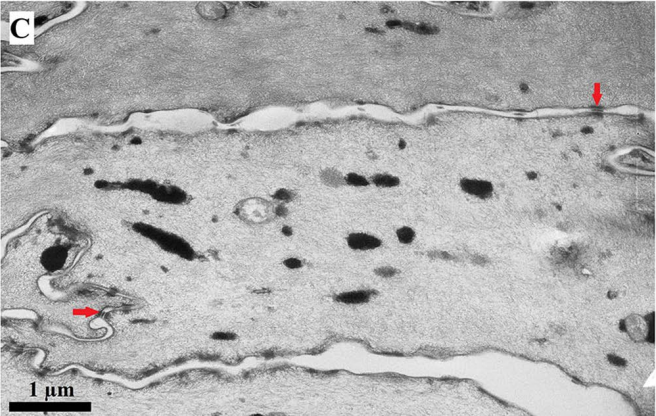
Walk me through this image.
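Flattened epithelial cells lie in parallel layers, joined along wavy borders. The cell borders show pale clefts bridged at intervals by small dense junctions. The cytoplasm is finely fibrillar and holds scattered, elongated, very dense granules.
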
